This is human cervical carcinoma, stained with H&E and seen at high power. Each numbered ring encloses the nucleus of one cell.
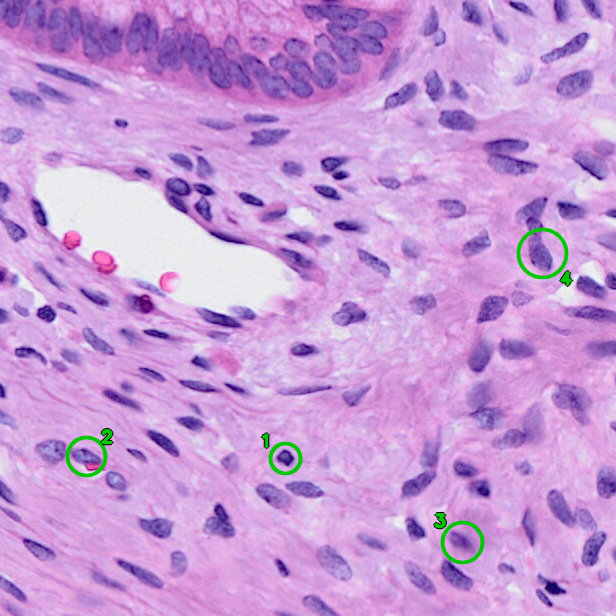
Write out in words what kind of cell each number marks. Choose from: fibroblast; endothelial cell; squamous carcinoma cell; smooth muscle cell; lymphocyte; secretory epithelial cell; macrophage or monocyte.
Cell 1 is a fibroblast, cell 2 is an endothelial cell, cell 3 is a fibroblast and cell 4 is a fibroblast.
